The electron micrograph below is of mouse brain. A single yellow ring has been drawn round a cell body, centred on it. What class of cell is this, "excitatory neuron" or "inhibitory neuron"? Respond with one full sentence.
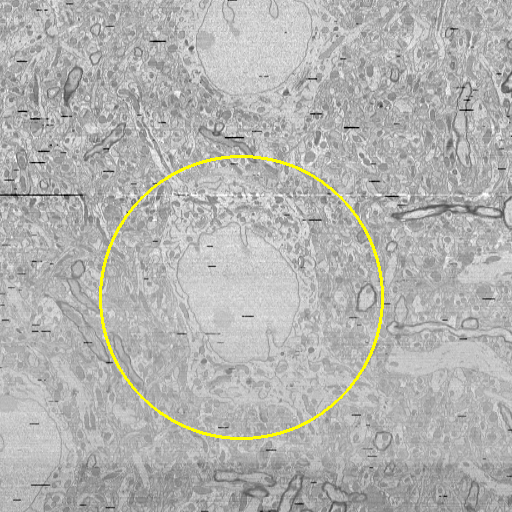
In the micrograph, the cell centred inside the yellow ring is an inhibitory neuron.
